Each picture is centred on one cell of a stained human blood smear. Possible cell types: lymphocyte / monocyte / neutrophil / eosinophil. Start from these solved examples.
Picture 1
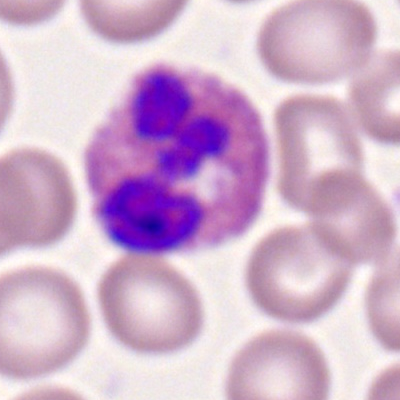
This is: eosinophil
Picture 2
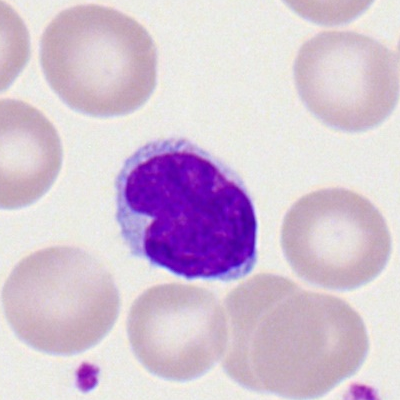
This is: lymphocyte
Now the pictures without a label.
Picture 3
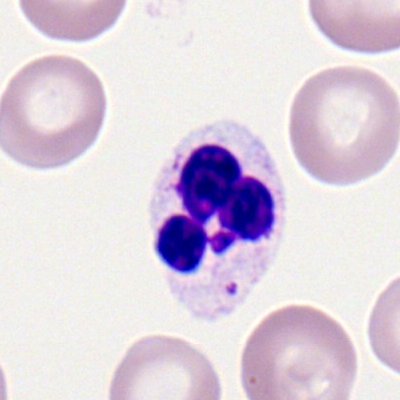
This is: neutrophil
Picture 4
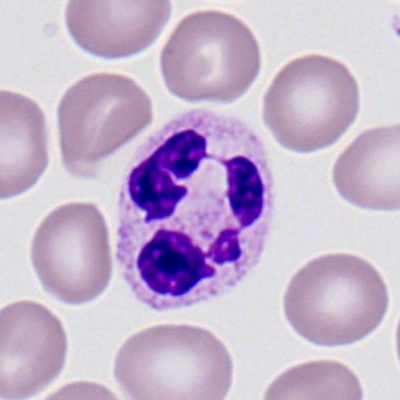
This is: neutrophil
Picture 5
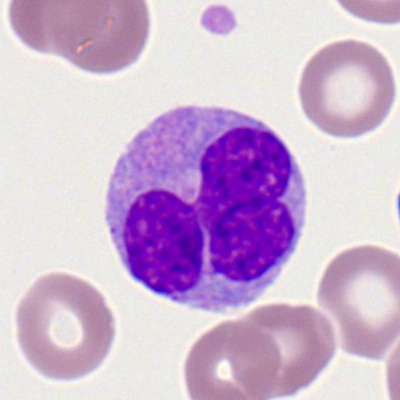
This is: monocyte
